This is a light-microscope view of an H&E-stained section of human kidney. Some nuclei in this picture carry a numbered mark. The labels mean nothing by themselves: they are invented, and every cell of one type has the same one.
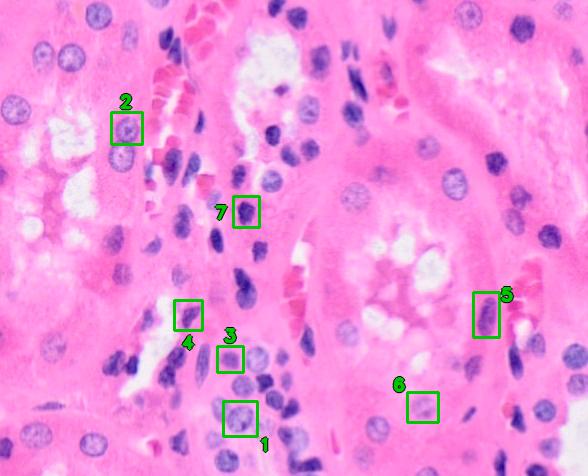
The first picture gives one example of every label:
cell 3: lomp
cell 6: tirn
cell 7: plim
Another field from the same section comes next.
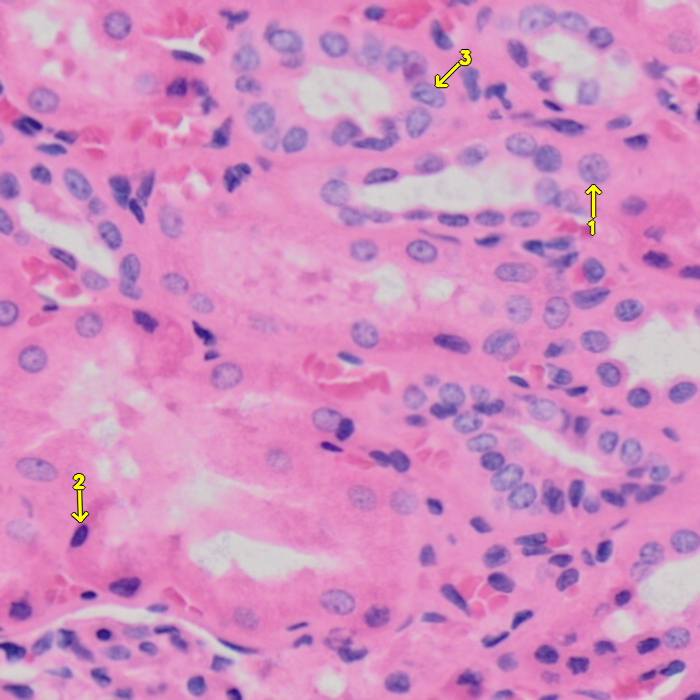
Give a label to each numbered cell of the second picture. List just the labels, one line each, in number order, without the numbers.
plim
tirn
lomp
